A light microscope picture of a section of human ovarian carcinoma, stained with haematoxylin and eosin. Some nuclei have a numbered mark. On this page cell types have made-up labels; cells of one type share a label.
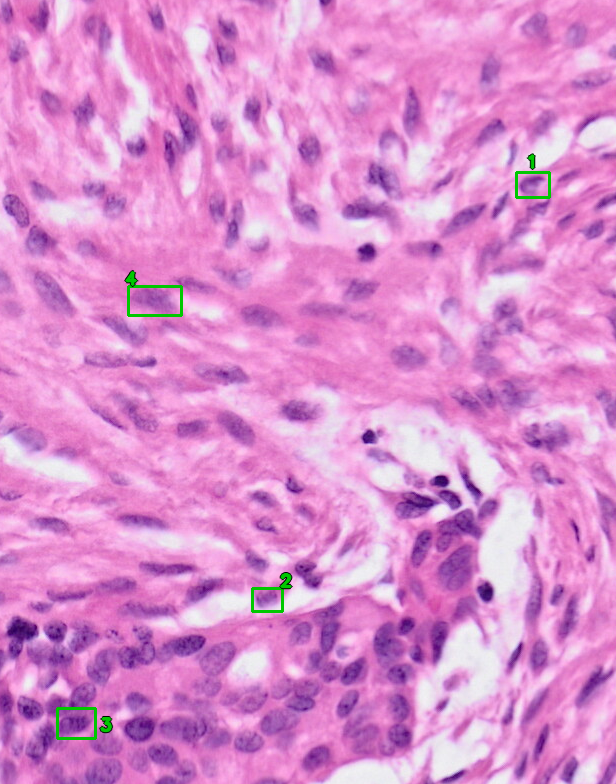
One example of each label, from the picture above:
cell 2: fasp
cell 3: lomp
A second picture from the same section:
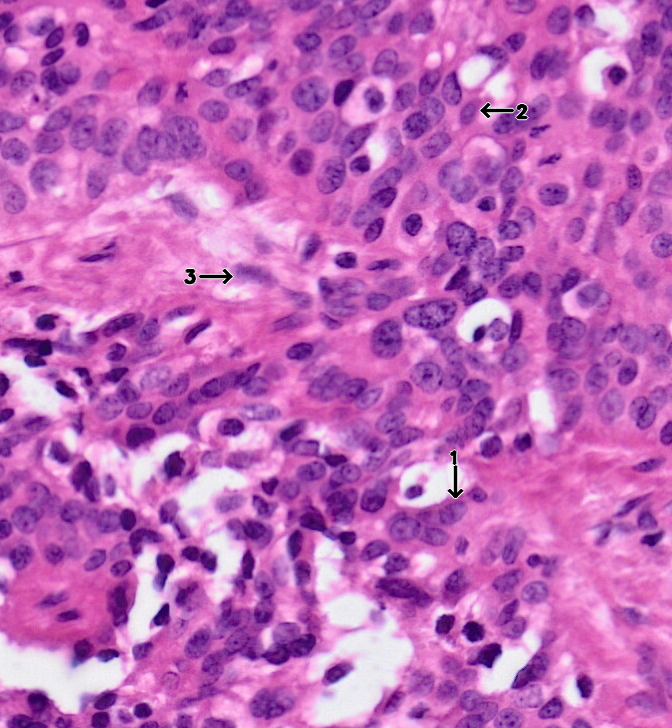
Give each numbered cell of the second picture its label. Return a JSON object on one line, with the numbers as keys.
{"1": "lomp", "2": "lomp", "3": "fasp"}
